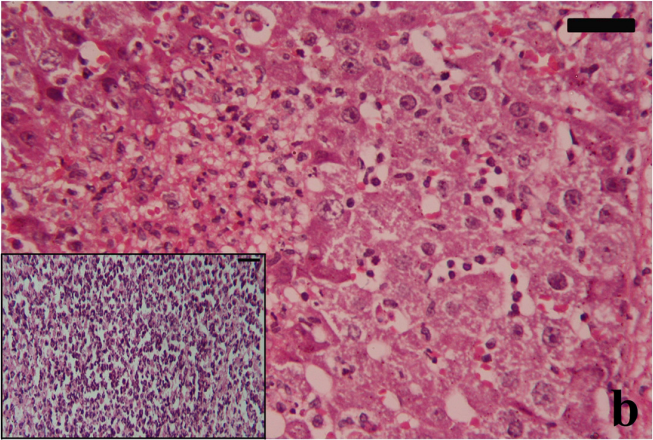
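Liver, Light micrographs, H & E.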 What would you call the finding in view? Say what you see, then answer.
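Focal hepatic necrosis. Scattered small dark nuclei and red blood cells lie among the debris. Elsewhere the hepatocyte cords are disorganized, and clear spaces lie within the cells.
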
